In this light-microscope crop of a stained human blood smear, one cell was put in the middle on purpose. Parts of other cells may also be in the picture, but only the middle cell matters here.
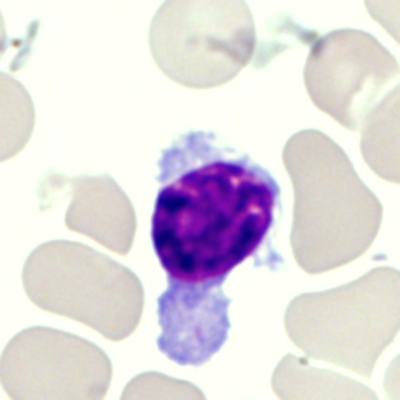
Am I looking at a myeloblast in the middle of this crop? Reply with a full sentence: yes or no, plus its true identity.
No, the middle cell is classified as a lymphocyte instead of a myeloblast.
